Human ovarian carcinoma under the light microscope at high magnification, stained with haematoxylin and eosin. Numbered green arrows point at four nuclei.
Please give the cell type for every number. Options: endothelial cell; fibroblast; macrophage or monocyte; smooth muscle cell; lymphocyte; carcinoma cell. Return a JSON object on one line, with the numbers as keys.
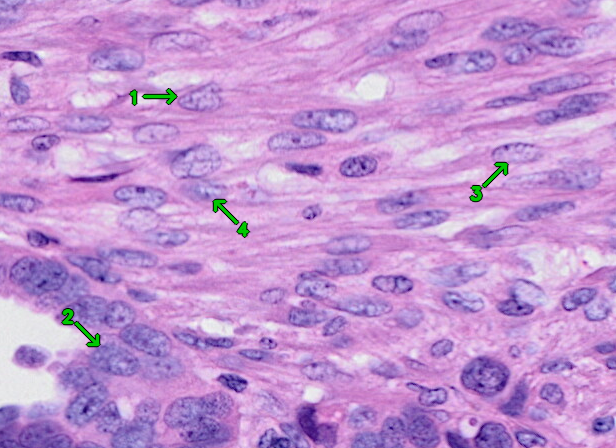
{"1": "fibroblast", "2": "carcinoma cell", "3": "fibroblast", "4": "fibroblast"}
